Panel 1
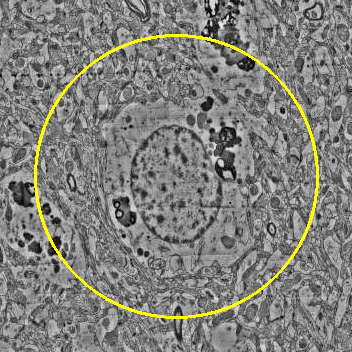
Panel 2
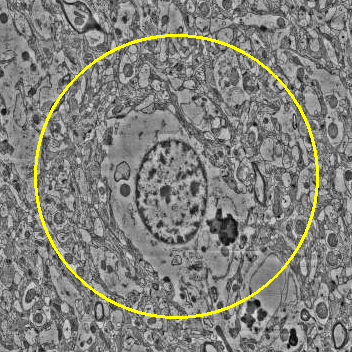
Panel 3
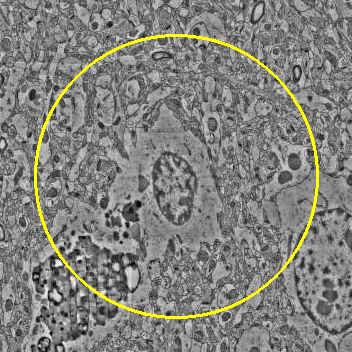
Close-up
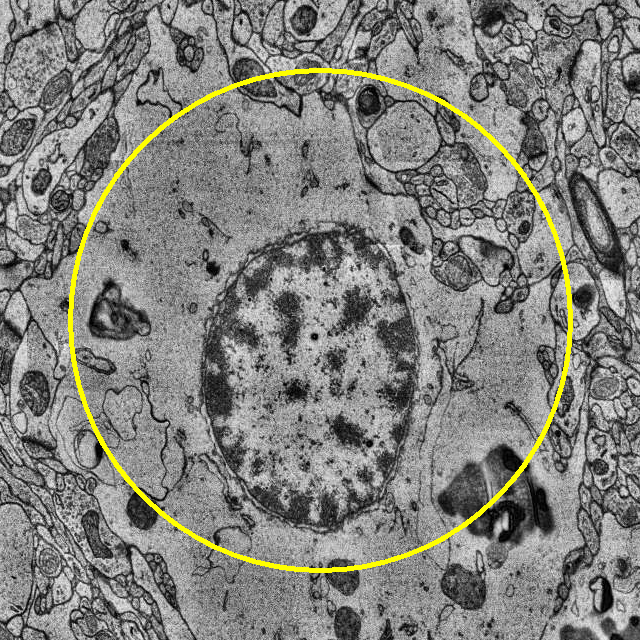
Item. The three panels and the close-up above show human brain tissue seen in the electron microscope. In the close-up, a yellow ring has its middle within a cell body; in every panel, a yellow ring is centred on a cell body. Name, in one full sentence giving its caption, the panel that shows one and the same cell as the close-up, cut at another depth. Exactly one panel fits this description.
The close-up zooms in on the cell circled in Panel 2.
